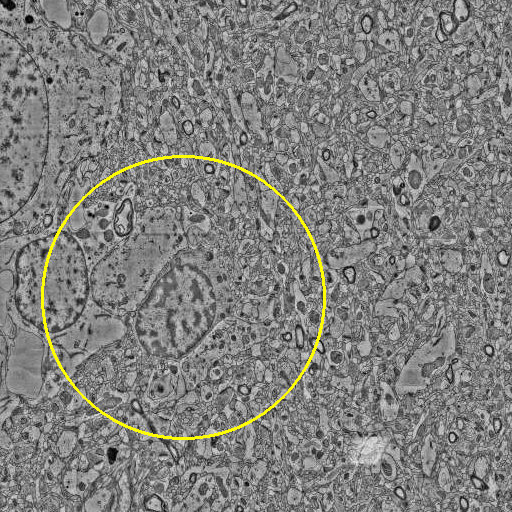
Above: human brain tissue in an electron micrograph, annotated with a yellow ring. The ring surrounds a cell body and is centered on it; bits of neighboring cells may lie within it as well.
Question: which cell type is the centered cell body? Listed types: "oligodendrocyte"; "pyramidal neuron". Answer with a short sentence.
The centered cell body is an oligodendrocyte.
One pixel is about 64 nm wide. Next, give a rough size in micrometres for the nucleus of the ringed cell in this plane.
Roughly 6 by 5 micrometres in this plane, for the nucleus of the ringed cell.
